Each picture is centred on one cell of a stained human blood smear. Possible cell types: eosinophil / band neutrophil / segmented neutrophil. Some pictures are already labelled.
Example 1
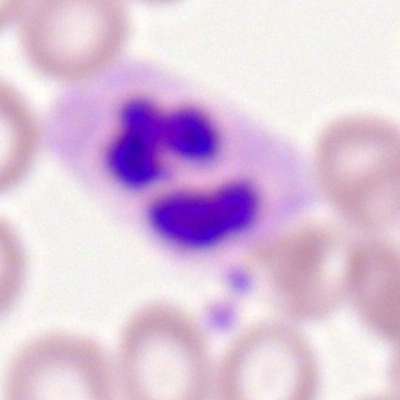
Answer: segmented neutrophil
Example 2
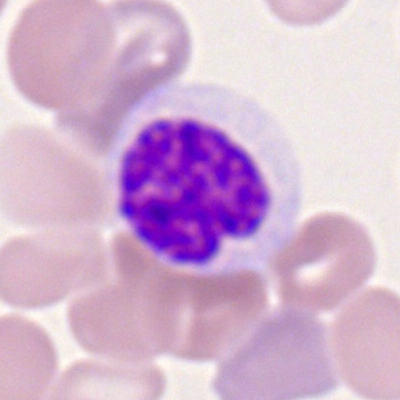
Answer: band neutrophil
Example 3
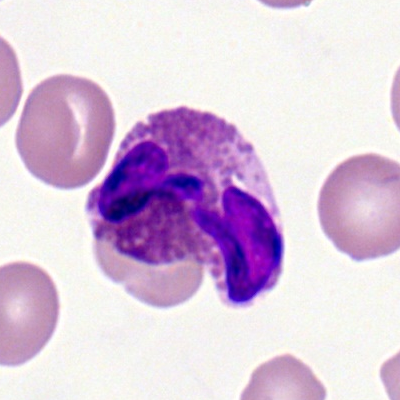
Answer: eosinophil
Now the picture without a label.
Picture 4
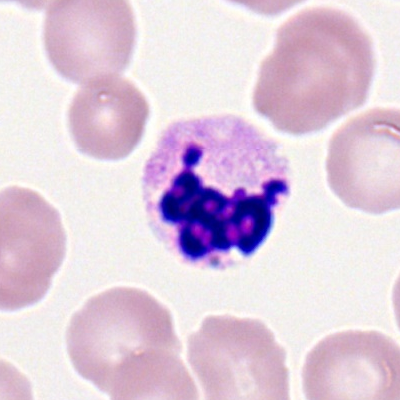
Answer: segmented neutrophil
